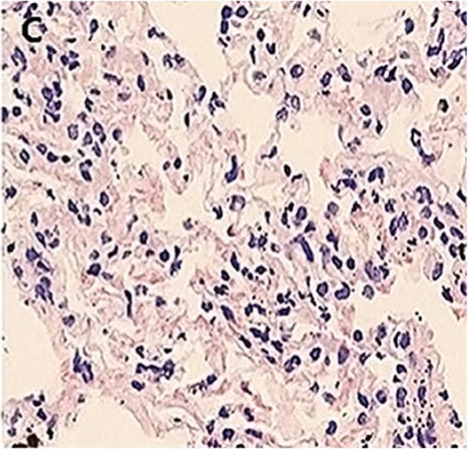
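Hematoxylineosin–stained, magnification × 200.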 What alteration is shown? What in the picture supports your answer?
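The septa between air spaces are broad and crowded with nuclei. The air spaces are narrowed and fewer than in an open lace-like lung. So: thickening of the alveolar walls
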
